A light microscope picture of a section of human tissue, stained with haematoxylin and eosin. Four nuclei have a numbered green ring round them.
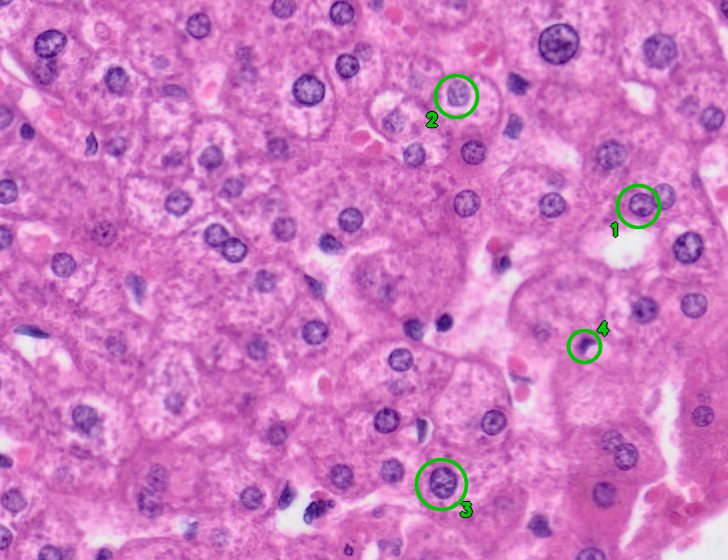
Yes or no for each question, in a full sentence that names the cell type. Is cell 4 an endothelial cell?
Yes, the cell indicated by number 4 is an endothelial cell.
